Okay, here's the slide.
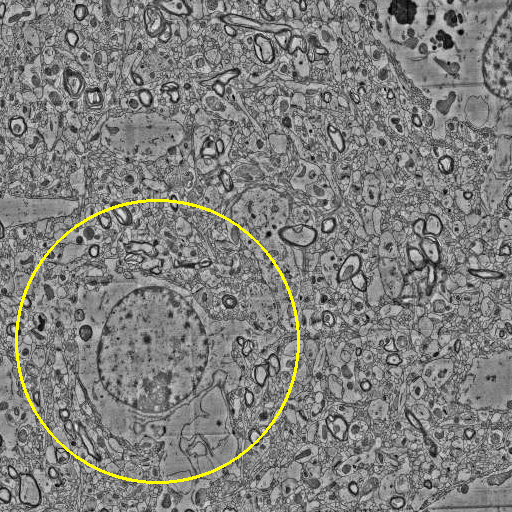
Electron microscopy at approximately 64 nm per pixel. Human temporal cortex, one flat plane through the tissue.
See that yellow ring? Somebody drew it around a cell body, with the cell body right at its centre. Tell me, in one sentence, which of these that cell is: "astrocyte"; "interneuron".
The cell in the middle of the ring is an astrocyte.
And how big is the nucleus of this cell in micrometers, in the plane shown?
Approximately 8 micrometers across in this plane.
